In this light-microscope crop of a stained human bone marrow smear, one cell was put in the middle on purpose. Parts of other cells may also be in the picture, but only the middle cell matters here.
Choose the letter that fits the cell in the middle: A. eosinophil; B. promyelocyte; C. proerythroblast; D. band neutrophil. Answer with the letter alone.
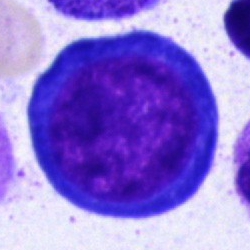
C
